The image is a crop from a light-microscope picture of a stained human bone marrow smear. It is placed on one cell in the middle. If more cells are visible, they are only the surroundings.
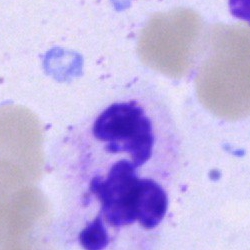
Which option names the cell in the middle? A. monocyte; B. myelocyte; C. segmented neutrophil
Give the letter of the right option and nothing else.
C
